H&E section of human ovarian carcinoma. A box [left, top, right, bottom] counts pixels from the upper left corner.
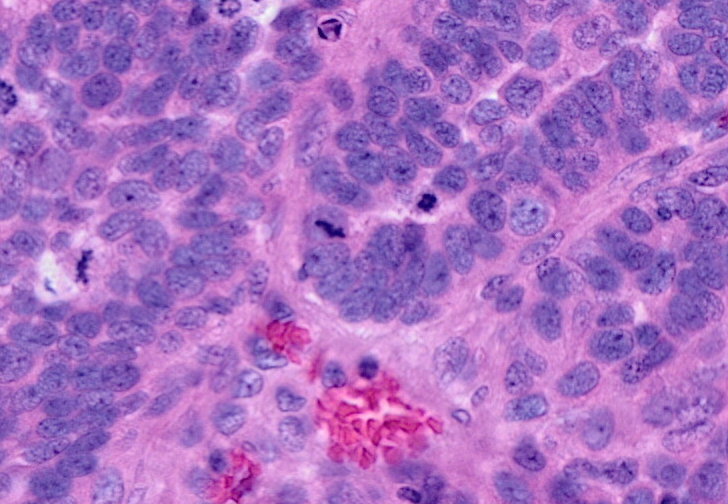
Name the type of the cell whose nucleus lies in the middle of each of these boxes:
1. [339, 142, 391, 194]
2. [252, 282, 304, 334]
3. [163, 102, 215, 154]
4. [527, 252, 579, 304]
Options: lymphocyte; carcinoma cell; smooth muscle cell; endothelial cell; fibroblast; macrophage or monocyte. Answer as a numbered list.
1. carcinoma cell
2. endothelial cell
3. carcinoma cell
4. carcinoma cell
